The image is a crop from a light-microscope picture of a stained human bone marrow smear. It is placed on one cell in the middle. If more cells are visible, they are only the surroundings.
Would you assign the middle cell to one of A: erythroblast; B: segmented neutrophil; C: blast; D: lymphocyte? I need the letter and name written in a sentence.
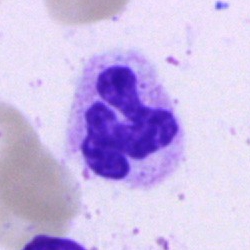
Well, the cell in the middle is a segmented neutrophil, making option B right.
